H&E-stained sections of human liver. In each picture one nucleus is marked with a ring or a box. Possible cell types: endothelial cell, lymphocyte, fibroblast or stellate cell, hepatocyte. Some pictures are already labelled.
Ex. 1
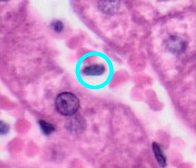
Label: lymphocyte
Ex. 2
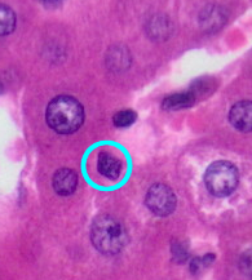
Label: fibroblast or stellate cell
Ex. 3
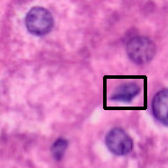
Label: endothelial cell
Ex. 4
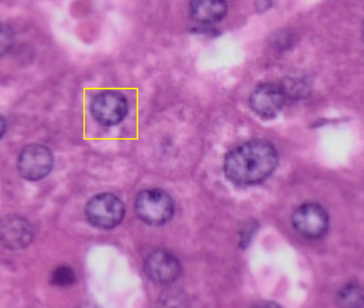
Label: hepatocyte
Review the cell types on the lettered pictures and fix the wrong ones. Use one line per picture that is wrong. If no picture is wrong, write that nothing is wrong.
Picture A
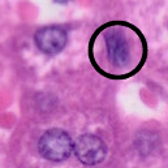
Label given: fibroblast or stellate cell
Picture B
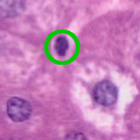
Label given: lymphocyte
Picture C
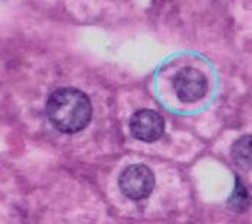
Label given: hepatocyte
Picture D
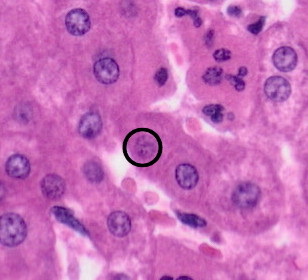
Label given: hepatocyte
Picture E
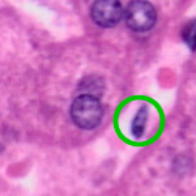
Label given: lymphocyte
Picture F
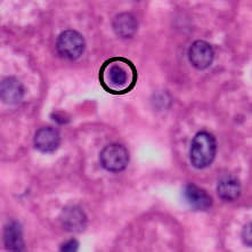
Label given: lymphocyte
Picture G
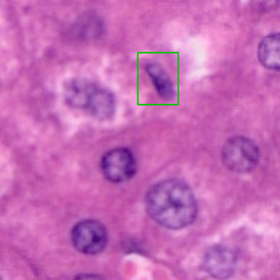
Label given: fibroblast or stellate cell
No label is wrong.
